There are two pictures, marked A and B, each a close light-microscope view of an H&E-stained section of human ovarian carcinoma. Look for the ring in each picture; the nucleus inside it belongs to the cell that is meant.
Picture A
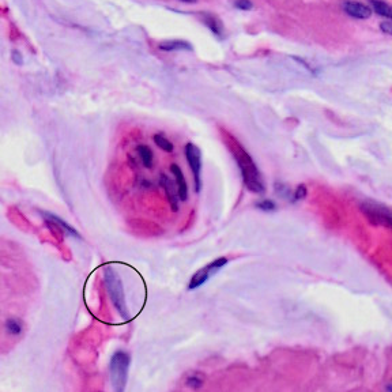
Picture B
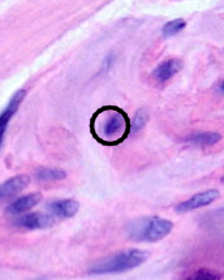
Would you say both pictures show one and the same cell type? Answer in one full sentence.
No; the cell in picture A is an endothelial cell, while the one in picture B is a smooth muscle cell.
